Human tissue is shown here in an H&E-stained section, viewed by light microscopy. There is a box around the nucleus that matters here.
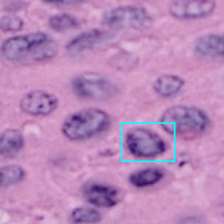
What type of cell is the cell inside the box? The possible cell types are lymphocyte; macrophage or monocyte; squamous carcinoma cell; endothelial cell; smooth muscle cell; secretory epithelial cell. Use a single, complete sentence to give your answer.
Within this tissue, the cell inside the box is a squamous carcinoma cell.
